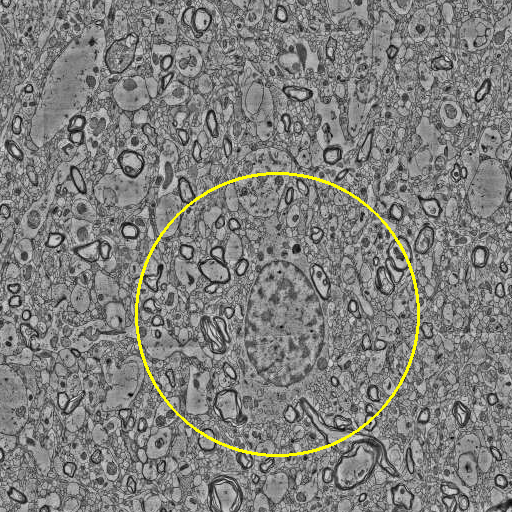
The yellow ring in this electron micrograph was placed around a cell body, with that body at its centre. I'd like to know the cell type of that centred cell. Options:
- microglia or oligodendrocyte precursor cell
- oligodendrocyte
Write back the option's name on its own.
oligodendrocyte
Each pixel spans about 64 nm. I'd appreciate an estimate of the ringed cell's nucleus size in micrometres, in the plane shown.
At approximately 8 by 5 micrometres, the nucleus is clearly longer than it is wide in this plane.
